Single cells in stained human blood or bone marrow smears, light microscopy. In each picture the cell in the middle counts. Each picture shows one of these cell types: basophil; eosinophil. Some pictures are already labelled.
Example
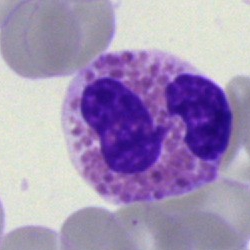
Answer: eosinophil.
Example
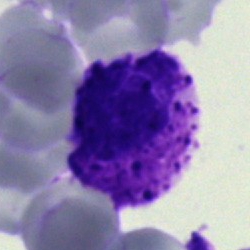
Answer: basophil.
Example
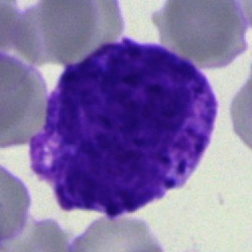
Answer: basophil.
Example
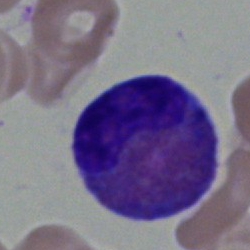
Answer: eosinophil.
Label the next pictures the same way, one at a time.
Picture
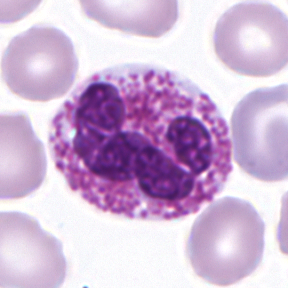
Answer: eosinophil.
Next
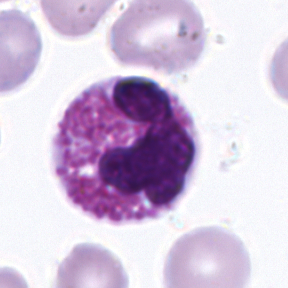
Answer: eosinophil.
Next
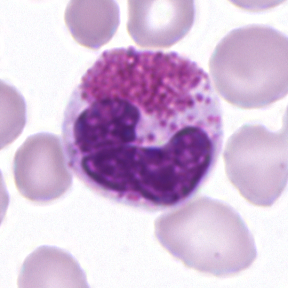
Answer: eosinophil.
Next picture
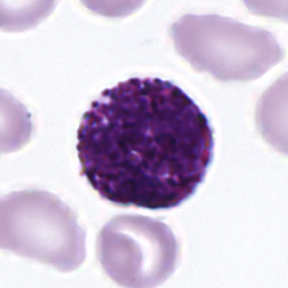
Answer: basophil.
